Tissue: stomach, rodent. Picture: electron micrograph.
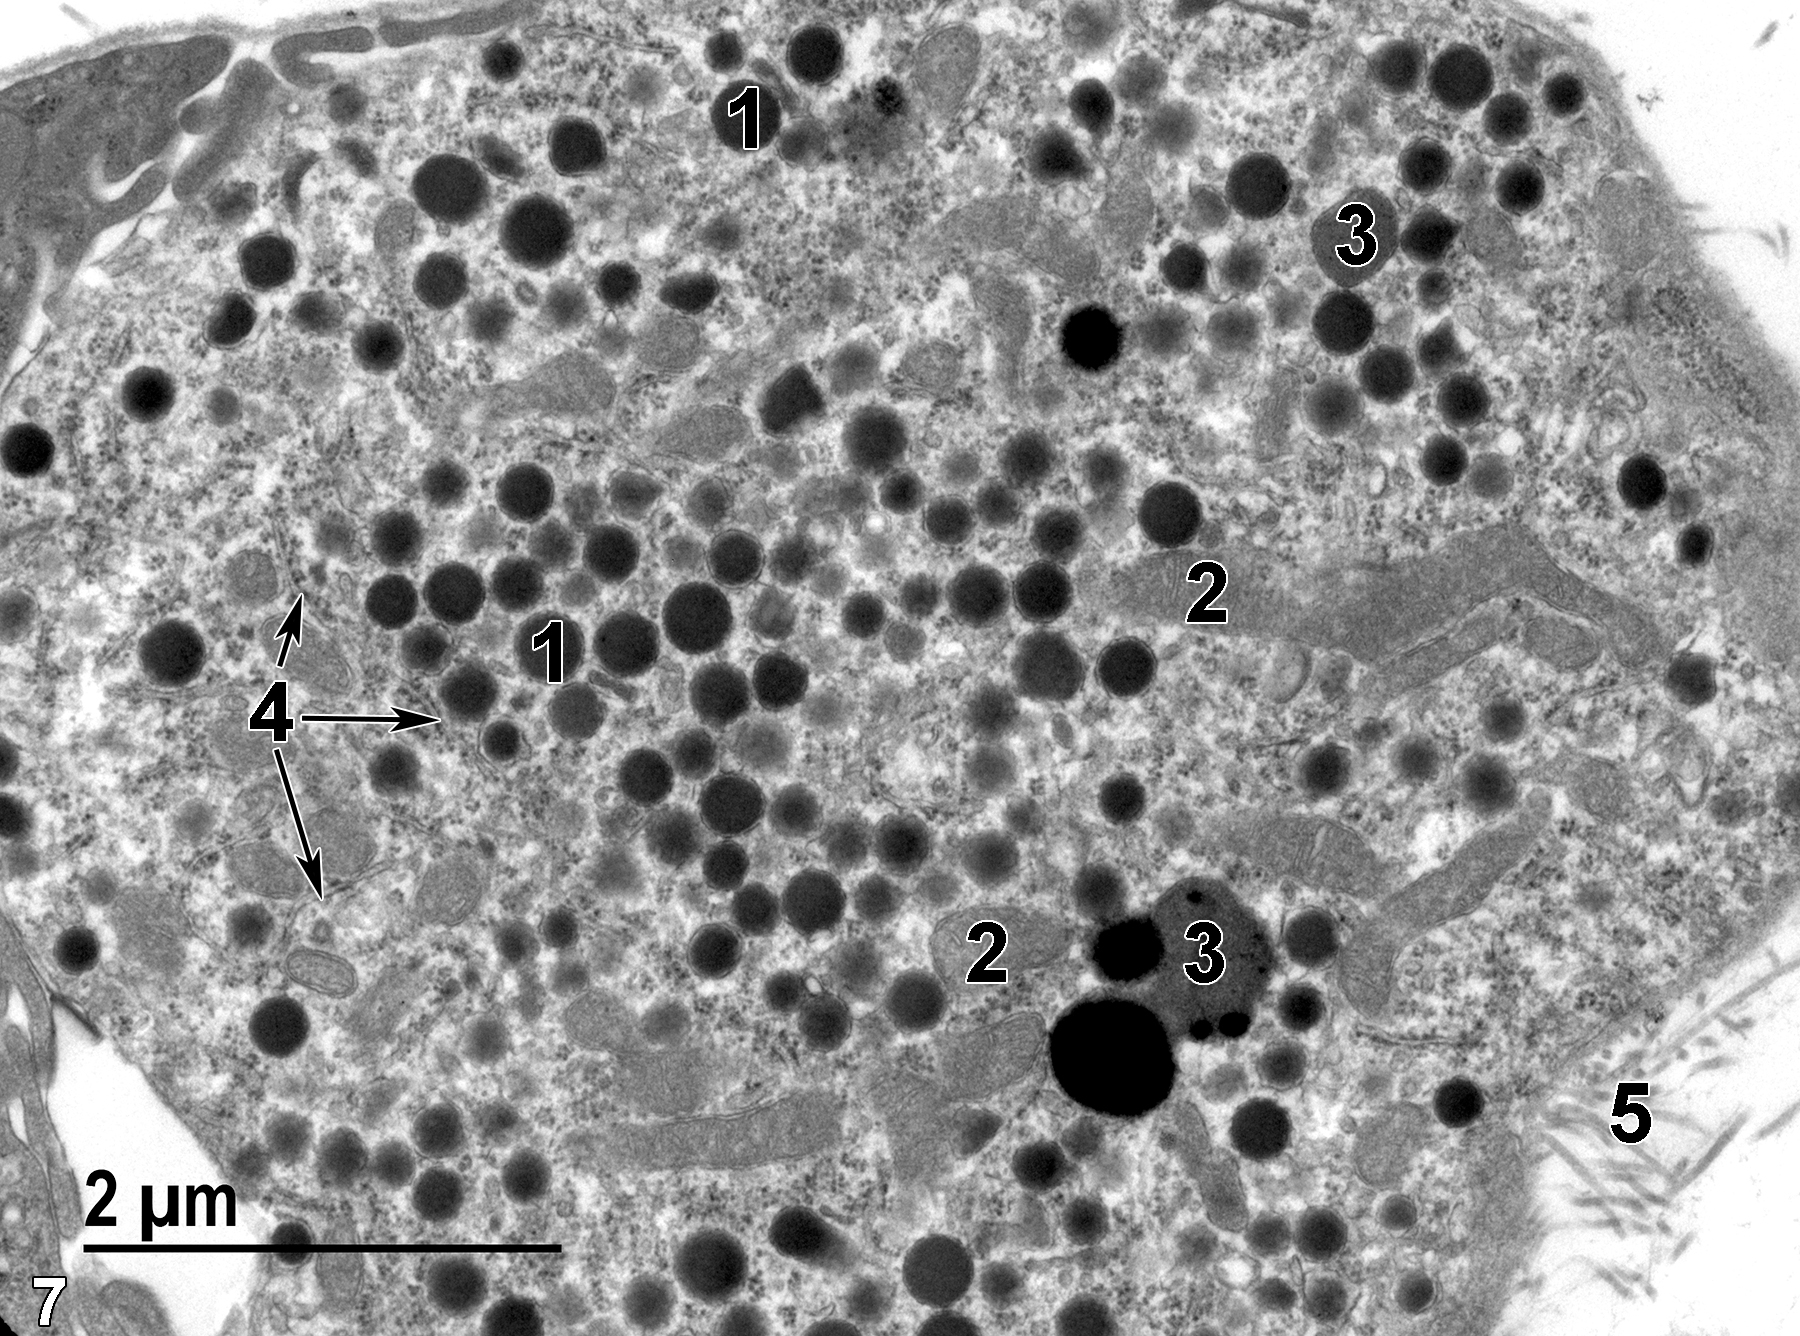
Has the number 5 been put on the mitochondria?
No. The collagen fibrils.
